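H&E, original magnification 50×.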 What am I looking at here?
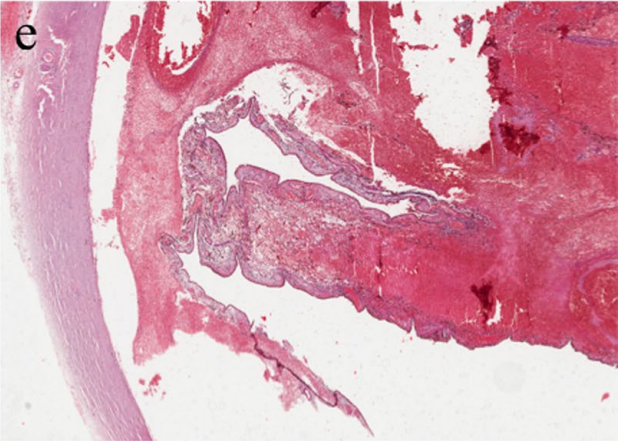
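This section through the eye wall shows a detached choroid: a thin, folded, finely pigmented layer lies separated from the pale pink outer wall. The space around it is filled with pink proteinaceous material and red blood.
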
